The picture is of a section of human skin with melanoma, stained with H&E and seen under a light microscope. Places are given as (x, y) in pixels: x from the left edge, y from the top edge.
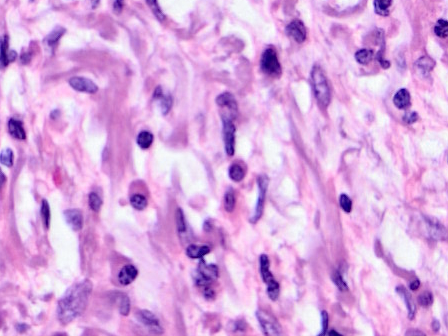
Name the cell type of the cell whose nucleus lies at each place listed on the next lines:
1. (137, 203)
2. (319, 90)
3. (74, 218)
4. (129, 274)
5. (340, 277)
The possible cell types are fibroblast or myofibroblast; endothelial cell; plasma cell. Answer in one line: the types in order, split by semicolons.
plasma cell; fibroblast or myofibroblast; endothelial cell; plasma cell; fibroblast or myofibroblast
